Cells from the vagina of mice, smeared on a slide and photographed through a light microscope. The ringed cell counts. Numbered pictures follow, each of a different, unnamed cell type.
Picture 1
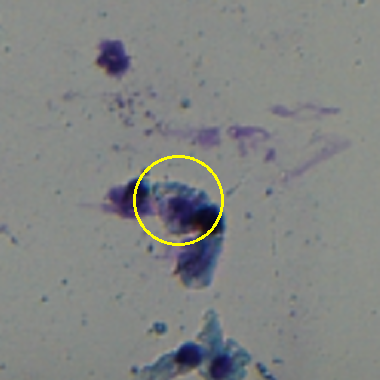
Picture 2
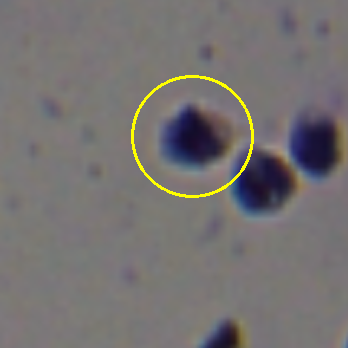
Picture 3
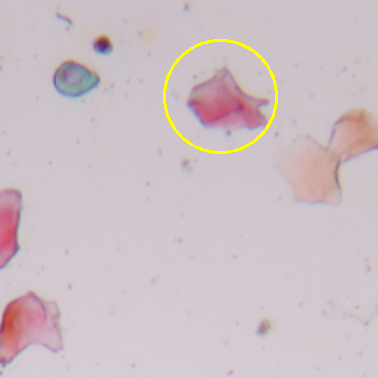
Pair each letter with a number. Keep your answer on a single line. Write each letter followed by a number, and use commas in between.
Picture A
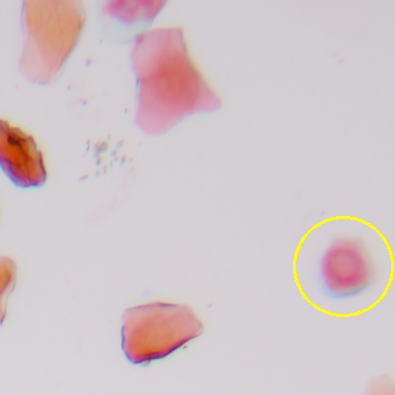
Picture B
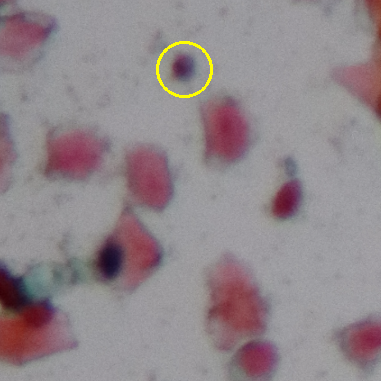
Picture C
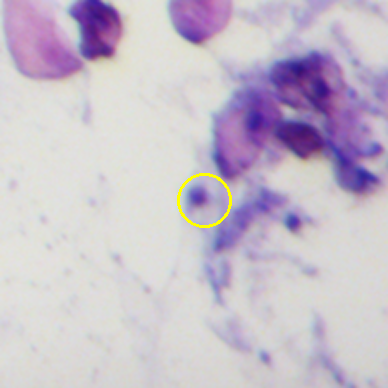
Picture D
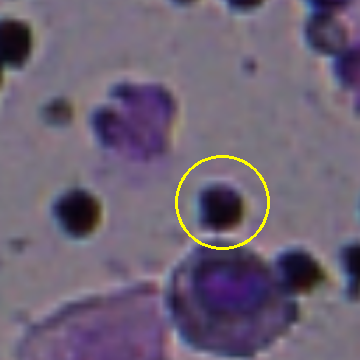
A 1, B 2, C 2, D 2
